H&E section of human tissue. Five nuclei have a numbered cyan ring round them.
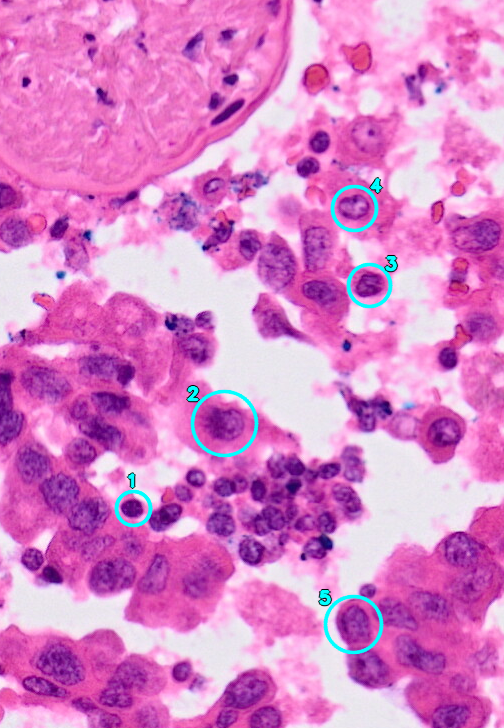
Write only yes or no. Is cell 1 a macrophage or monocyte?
no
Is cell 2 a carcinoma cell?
yes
